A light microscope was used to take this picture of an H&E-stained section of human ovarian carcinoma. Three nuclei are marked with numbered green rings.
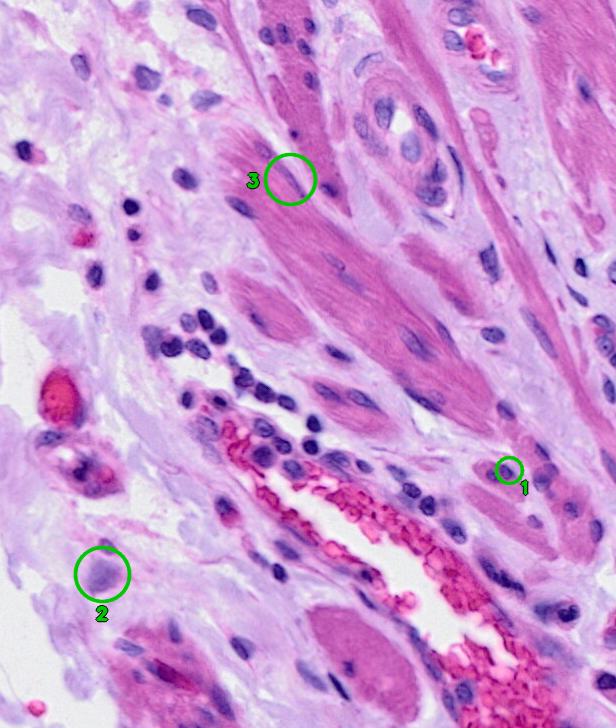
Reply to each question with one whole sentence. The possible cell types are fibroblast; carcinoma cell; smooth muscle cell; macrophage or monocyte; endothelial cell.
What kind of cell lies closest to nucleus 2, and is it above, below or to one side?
Lying above nucleus 2, the nearest nucleus is that of a macrophage or monocyte.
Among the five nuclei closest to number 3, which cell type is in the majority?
Most of the five nuclei nearest to number 3 are those of smooth muscle cells.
